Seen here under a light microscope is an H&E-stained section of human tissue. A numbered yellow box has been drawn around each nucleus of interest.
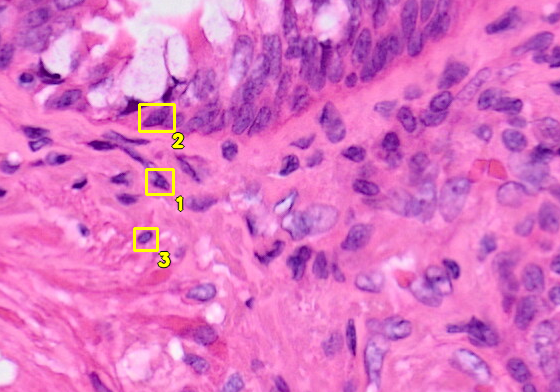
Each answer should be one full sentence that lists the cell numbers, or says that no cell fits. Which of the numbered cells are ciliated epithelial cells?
Cell 2 is the only numbered cell that is a ciliated epithelial cell.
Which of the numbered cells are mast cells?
No marked cell except number 1 is a mast cell.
